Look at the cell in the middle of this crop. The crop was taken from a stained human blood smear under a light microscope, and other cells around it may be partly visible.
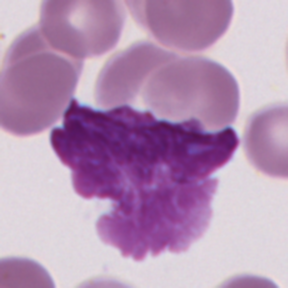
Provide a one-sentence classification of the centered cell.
Centrally within this crop lies a smudge cell.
